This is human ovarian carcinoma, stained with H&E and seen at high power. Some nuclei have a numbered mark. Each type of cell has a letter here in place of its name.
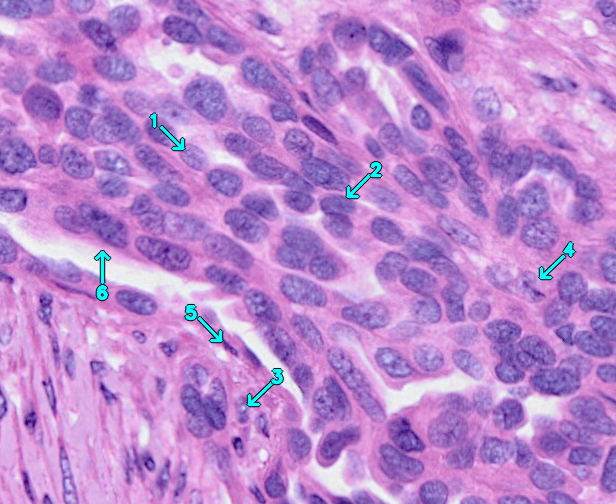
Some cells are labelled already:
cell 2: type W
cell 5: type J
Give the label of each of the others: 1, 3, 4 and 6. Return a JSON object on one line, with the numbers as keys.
{"1": "type W", "3": "type J", "4": "type J", "6": "type W"}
